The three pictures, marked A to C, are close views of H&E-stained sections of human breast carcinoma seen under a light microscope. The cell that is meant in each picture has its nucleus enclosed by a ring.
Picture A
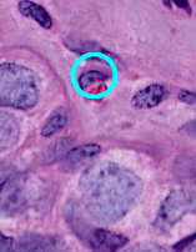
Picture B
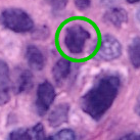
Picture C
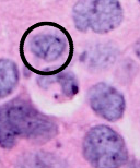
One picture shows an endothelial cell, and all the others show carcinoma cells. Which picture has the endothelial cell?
A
